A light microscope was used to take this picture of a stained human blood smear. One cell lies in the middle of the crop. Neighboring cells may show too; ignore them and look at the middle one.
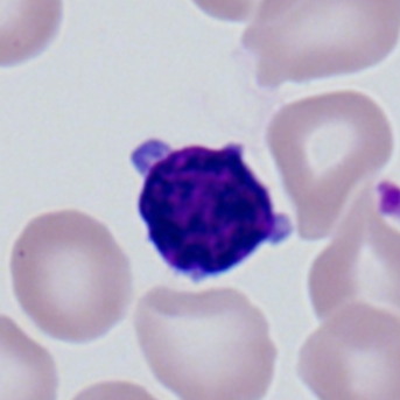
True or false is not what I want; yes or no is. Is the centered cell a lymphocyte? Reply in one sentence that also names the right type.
Yes, the one cell at the centre is a lymphocyte.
